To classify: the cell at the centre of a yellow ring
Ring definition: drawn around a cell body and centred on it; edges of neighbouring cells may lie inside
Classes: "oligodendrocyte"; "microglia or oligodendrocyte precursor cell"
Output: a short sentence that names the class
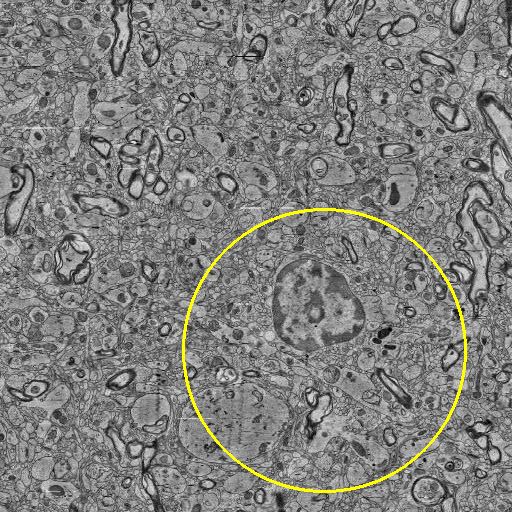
The ringed cell is a microglial cell or oligodendrocyte precursor cell.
